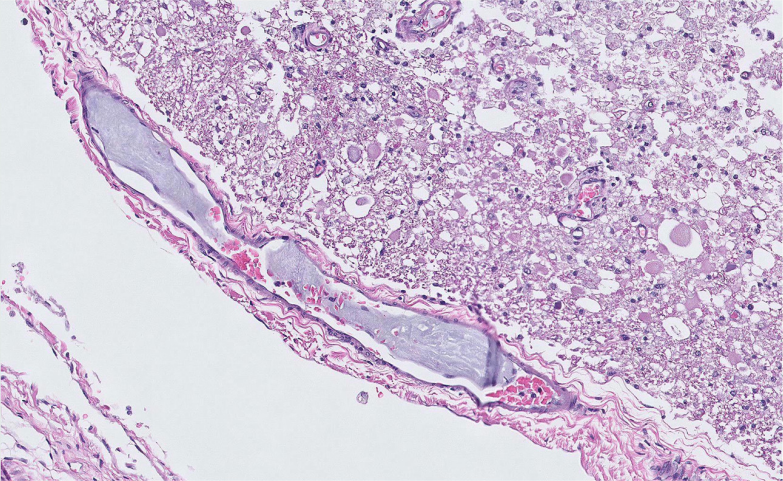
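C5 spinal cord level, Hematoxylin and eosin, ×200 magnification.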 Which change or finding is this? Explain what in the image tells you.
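An elongated vessel at the edge of the tissue is filled by pale bluish-grey, glassy, amorphous material. A few red blood cells sit at the ends of this material inside the vessel. The material is paler and bluer than the pink vessel wall around it. So: fibrocartilaginous embolus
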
